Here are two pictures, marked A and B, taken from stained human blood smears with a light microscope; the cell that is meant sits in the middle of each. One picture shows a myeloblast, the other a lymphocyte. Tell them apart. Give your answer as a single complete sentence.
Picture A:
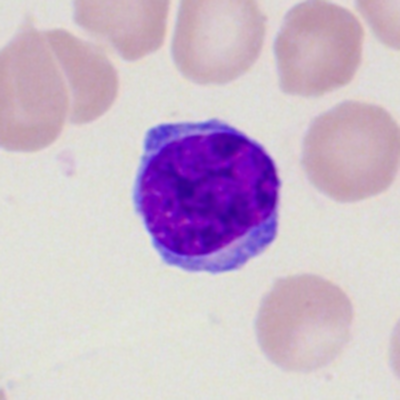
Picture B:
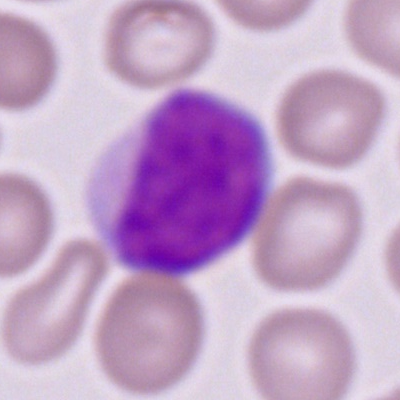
Picture A is of a lymphocyte, and picture B is of a myeloblast.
